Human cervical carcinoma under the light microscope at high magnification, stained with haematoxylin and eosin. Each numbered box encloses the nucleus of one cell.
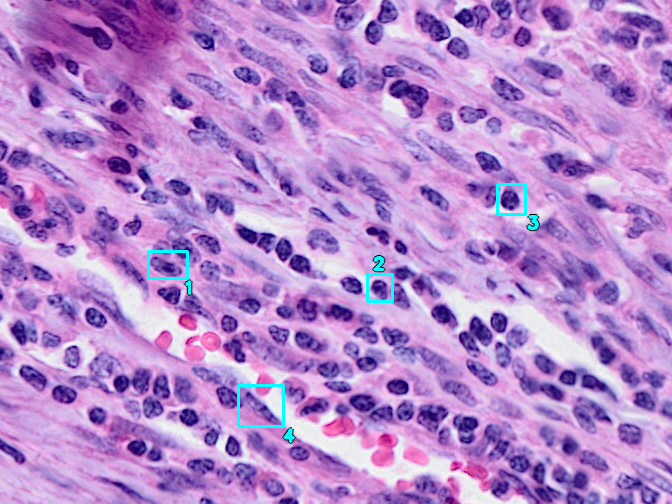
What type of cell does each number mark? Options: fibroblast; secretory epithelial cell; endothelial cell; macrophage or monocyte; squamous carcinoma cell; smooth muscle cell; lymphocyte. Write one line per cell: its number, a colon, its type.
1: lymphocyte
2: lymphocyte
3: lymphocyte
4: endothelial cell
